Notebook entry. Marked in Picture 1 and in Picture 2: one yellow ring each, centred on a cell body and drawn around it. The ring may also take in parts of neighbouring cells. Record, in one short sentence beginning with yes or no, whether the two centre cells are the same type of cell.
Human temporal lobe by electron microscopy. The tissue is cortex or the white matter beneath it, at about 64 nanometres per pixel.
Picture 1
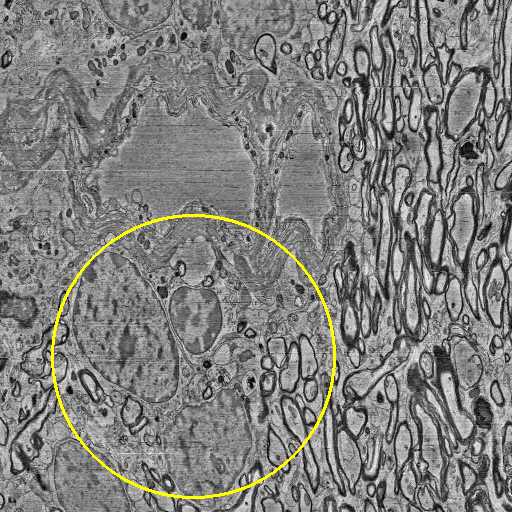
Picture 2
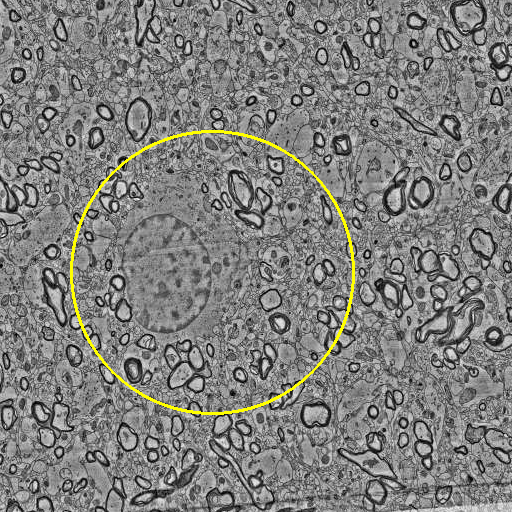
No, they are two types of cell.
